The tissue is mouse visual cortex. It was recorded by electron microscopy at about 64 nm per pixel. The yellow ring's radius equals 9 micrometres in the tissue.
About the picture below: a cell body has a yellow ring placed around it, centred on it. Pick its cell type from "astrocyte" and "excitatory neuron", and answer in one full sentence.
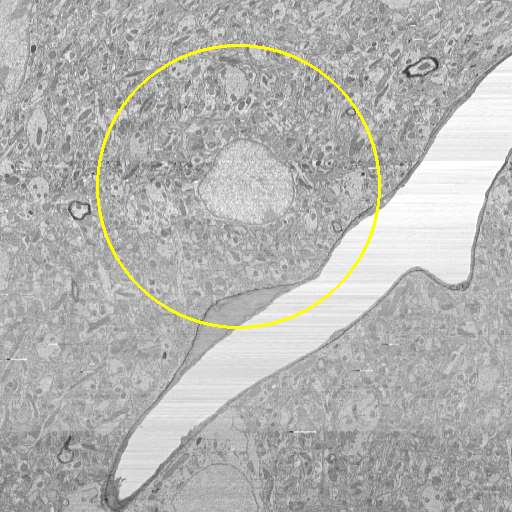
In the picture, an astrocyte is the cell sitting at the centre of the yellow ring.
